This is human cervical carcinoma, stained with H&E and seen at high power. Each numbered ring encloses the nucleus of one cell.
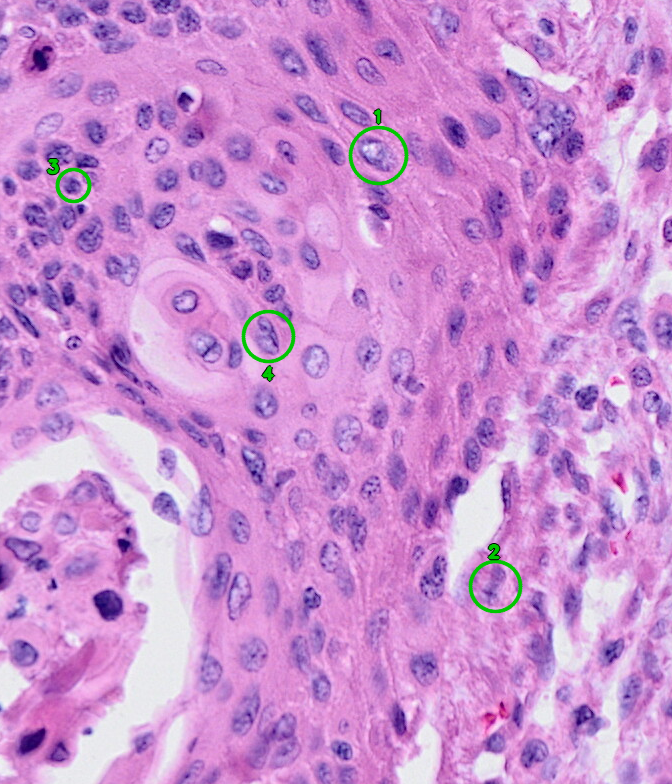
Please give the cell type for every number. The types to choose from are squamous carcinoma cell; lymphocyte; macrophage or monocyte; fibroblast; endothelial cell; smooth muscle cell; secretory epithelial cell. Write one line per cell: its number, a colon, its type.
1: squamous carcinoma cell
2: fibroblast
3: squamous carcinoma cell
4: squamous carcinoma cell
